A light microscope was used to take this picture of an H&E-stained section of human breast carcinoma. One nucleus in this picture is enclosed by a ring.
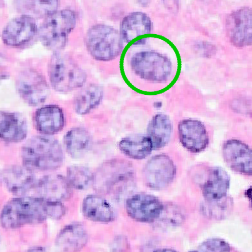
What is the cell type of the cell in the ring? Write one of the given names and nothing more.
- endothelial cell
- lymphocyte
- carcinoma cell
carcinoma cell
